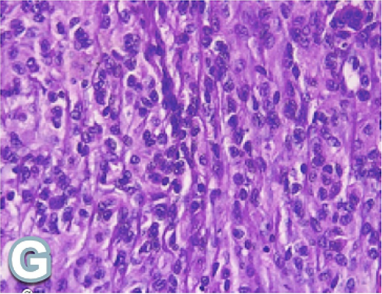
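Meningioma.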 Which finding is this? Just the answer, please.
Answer: Anaplastic.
